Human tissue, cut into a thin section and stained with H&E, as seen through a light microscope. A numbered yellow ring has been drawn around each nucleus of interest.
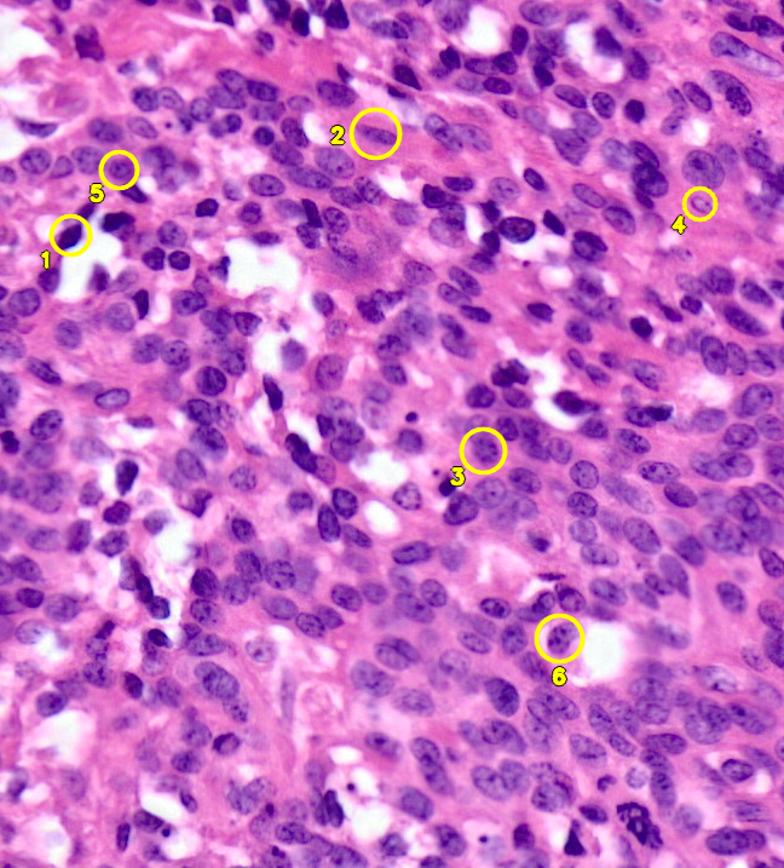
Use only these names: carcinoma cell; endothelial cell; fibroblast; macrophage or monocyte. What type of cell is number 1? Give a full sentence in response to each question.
Cell 1 is classified as a carcinoma cell.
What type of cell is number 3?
The cell referred to as 3 is a carcinoma cell.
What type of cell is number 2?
The numeral 2 marks an endothelial cell in this section.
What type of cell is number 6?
Cell 6 of the marked set is a macrophage or monocyte.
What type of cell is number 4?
The nucleus marked 4 is the nucleus of an endothelial cell.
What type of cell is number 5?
Of the numbered cells, the one labelled 5 is a carcinoma cell.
